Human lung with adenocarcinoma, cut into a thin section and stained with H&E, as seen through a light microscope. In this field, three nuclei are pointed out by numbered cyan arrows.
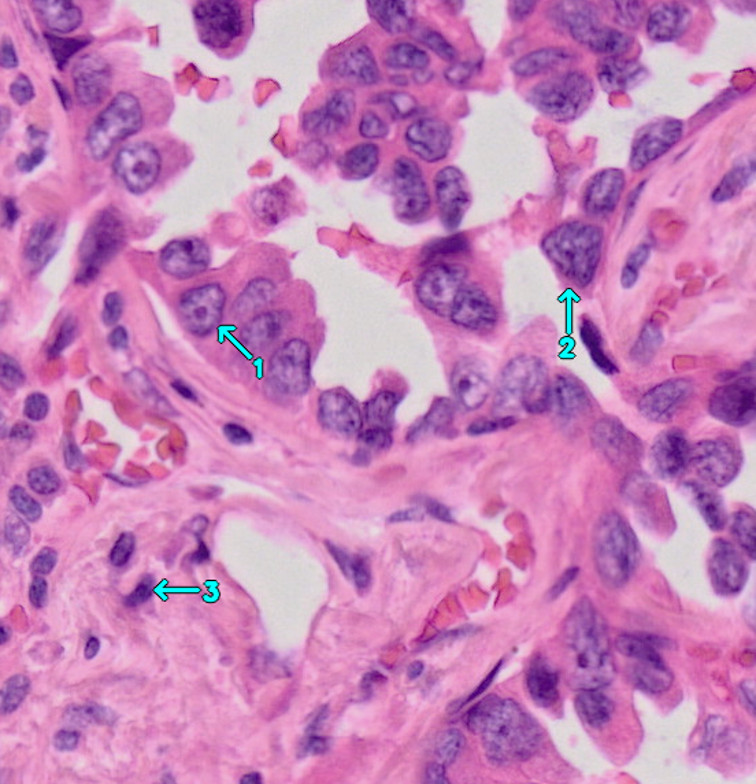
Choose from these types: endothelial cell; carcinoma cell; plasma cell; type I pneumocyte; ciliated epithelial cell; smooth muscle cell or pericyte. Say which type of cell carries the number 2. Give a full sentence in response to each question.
The cell that is numbered 2 is a carcinoma cell.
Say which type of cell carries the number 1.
In this section, number 1 marks a carcinoma cell.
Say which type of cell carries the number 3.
At number 3, the marked cell is a plasma cell.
